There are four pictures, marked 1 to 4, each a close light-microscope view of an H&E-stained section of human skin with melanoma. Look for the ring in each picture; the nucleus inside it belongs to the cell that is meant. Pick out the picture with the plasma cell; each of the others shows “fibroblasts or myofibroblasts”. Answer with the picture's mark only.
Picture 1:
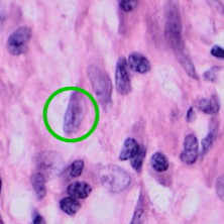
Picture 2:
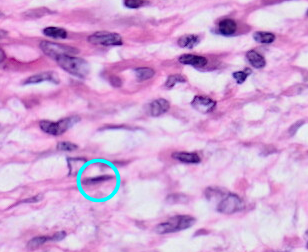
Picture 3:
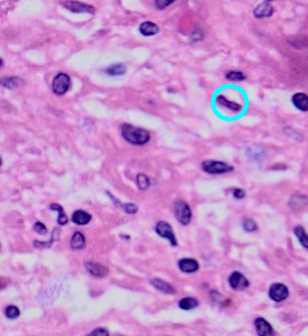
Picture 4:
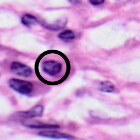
4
